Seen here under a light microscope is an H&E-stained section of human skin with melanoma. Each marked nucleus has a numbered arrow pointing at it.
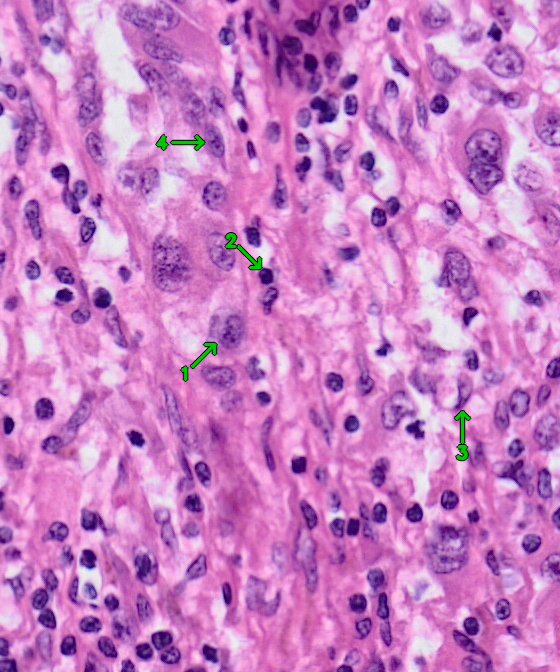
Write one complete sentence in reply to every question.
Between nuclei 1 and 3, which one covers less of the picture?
The smaller nucleus is 3, and 1 covers roughly 2.5 times its area.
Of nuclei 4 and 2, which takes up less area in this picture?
Number 2 is smaller, since number 4 takes up about 2 times as much area.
